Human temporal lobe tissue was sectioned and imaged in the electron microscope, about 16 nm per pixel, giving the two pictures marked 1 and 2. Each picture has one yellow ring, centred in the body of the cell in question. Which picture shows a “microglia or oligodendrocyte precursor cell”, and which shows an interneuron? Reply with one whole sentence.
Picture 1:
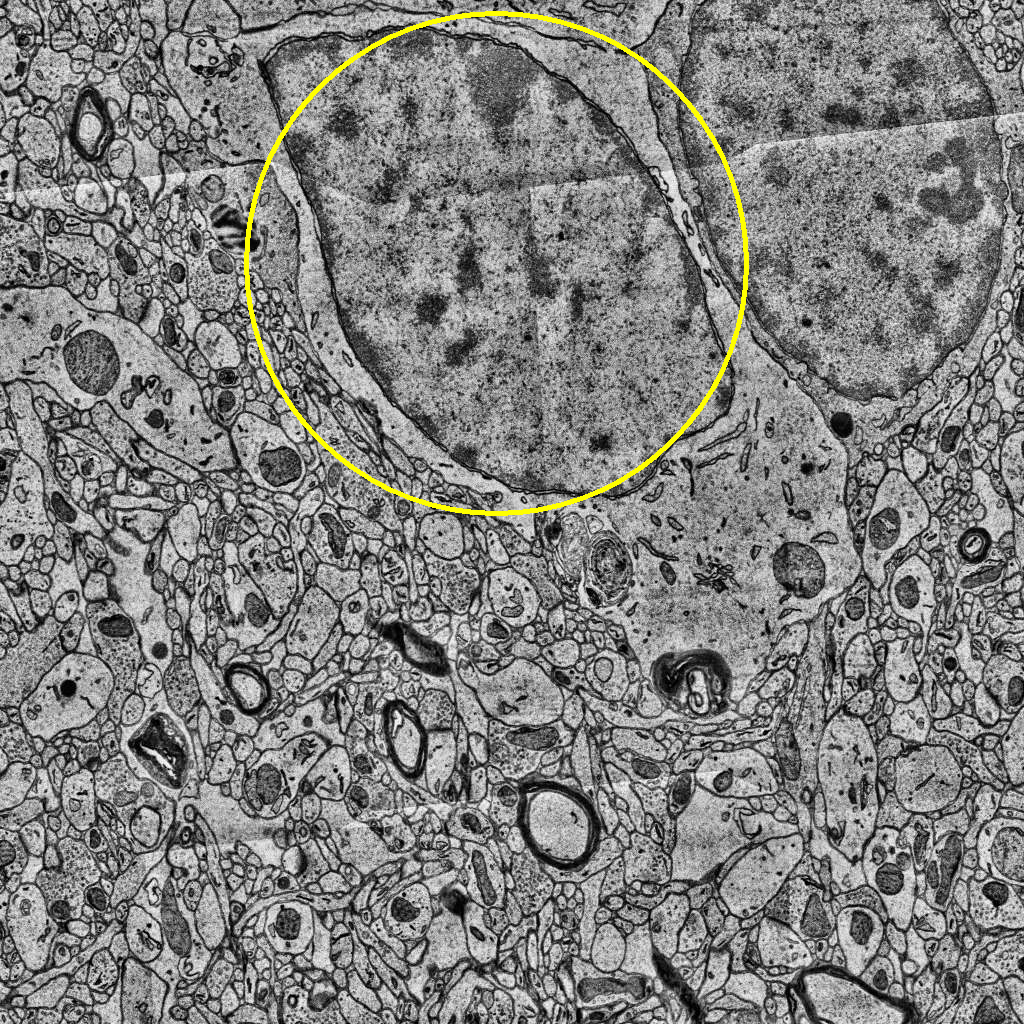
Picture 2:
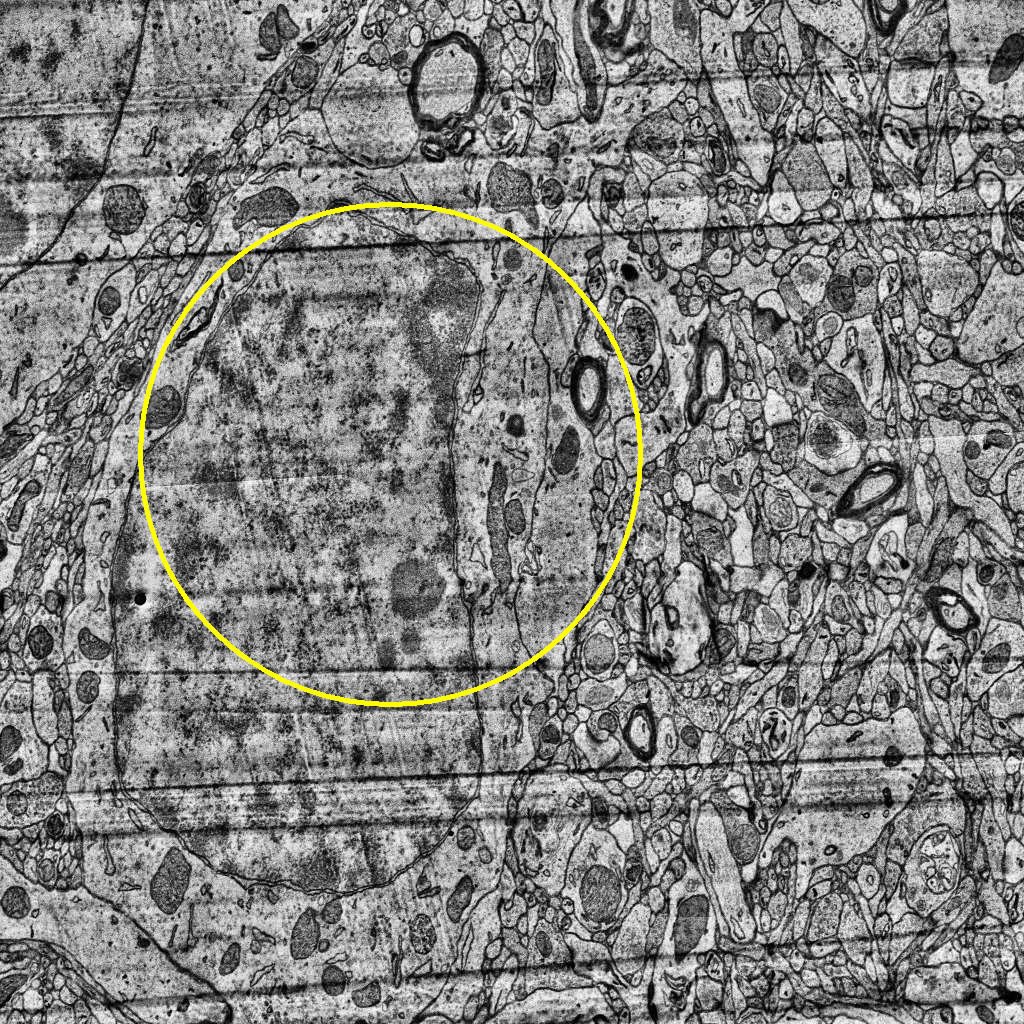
It is picture 1 that shows a “microglia or oligodendrocyte precursor cell”, and picture 2 that shows an interneuron.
